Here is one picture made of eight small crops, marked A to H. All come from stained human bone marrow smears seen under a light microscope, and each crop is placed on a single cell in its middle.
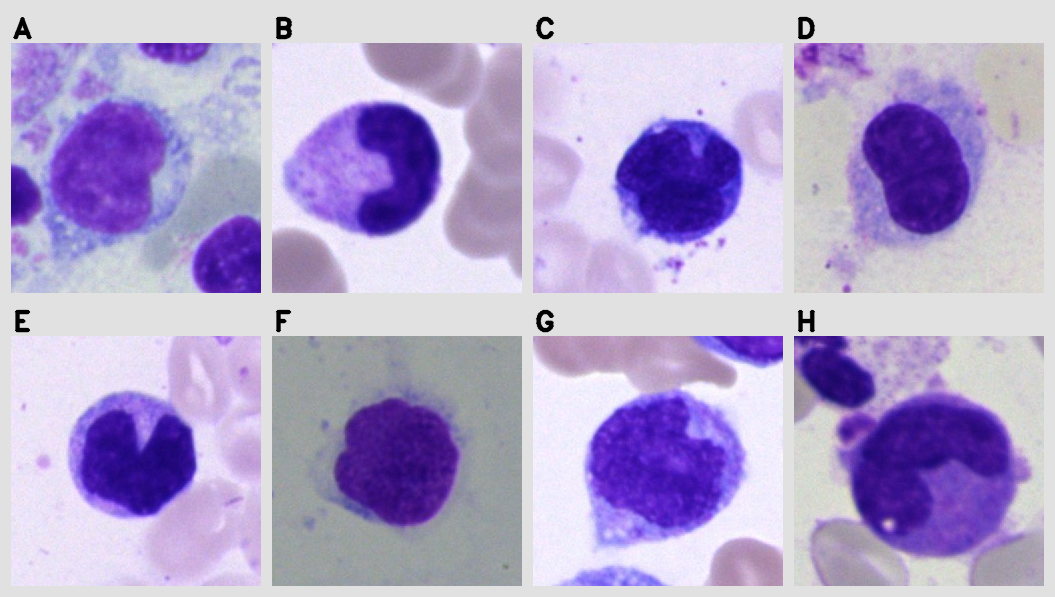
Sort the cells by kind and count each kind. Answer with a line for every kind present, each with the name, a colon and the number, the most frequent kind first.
monocyte: 4
hairy cell: 3
band neutrophil: 1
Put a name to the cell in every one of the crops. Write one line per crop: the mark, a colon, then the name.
A: hairy cell
B: band neutrophil
C: monocyte
D: hairy cell
E: monocyte
F: hairy cell
G: monocyte
H: monocyte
